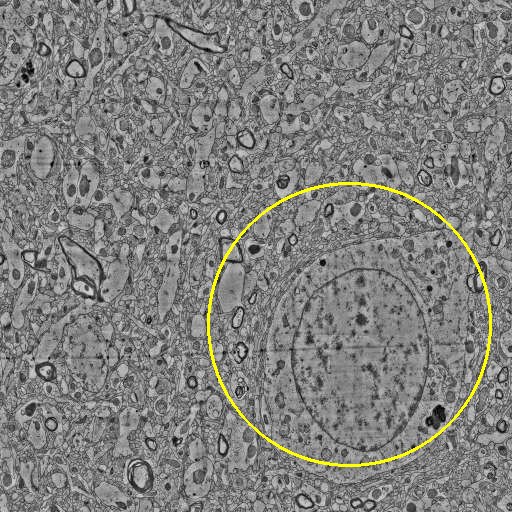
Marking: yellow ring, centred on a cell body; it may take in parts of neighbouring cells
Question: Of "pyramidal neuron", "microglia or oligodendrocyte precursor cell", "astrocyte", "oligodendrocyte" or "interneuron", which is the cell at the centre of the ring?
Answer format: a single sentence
The ring surrounds the body of a pyramidal neuron.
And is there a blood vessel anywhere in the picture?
No, there is none.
